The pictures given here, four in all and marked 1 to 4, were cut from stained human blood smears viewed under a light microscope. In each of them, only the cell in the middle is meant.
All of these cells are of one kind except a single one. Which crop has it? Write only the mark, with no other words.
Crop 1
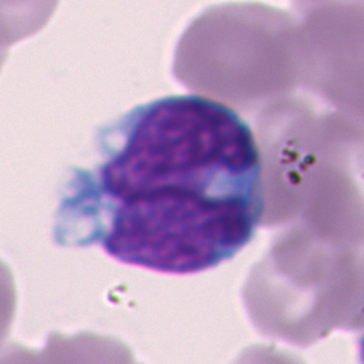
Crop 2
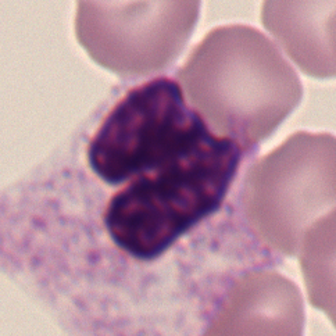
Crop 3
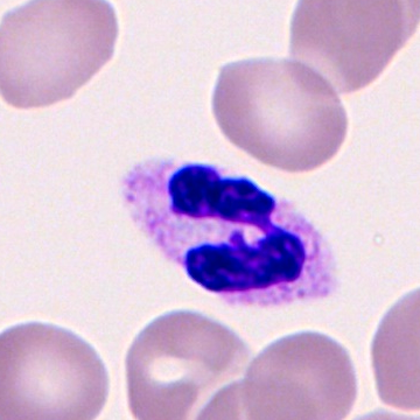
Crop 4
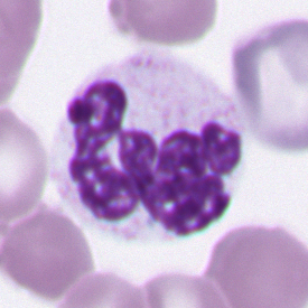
1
